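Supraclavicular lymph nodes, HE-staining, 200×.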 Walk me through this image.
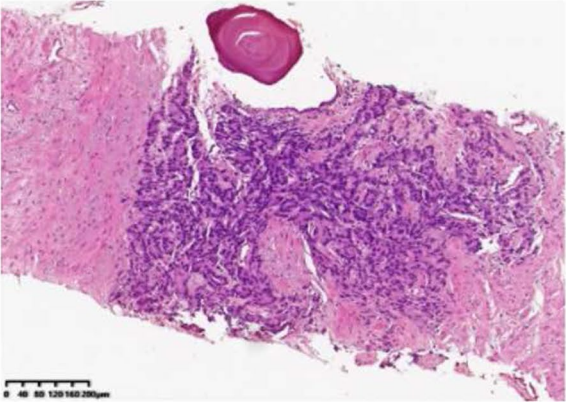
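This is a biopsy fragment in which a dense, dark purple mass of crowded tumour cells fills the centre, flanked on the left by pink fibrous stroma. The tumour cells form solid sheets and anastomosing cords with hardly any gland lumina. Their nuclei are hyperchromatic and closely packed, and thin bands of pink stroma run between the groups of cells. At the upper edge lies a round, glassy, deep pink body with concentric lamination.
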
